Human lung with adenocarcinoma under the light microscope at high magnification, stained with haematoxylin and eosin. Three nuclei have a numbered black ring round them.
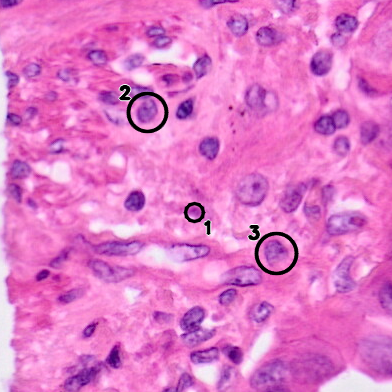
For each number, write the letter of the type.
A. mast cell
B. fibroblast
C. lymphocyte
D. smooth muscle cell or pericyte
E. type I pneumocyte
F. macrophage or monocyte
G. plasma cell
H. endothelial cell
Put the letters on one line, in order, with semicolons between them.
F; A; A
